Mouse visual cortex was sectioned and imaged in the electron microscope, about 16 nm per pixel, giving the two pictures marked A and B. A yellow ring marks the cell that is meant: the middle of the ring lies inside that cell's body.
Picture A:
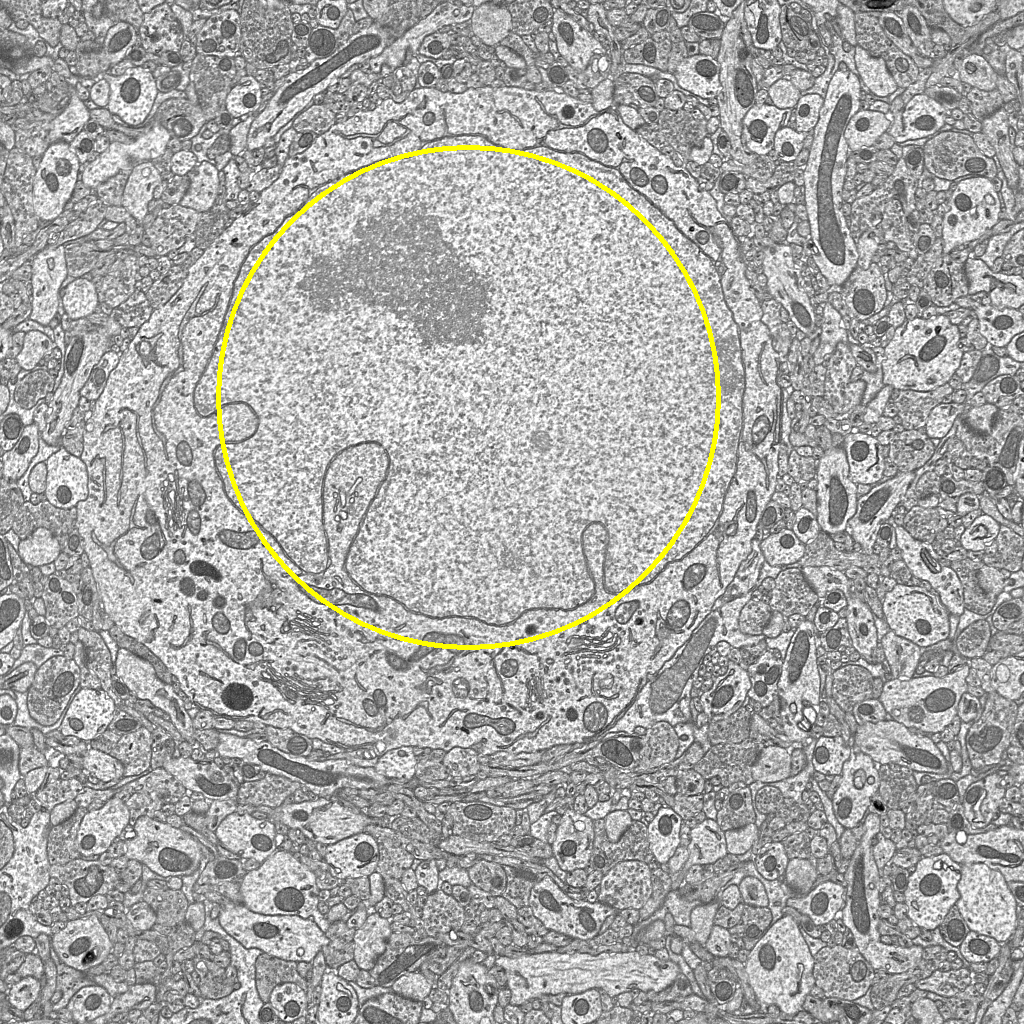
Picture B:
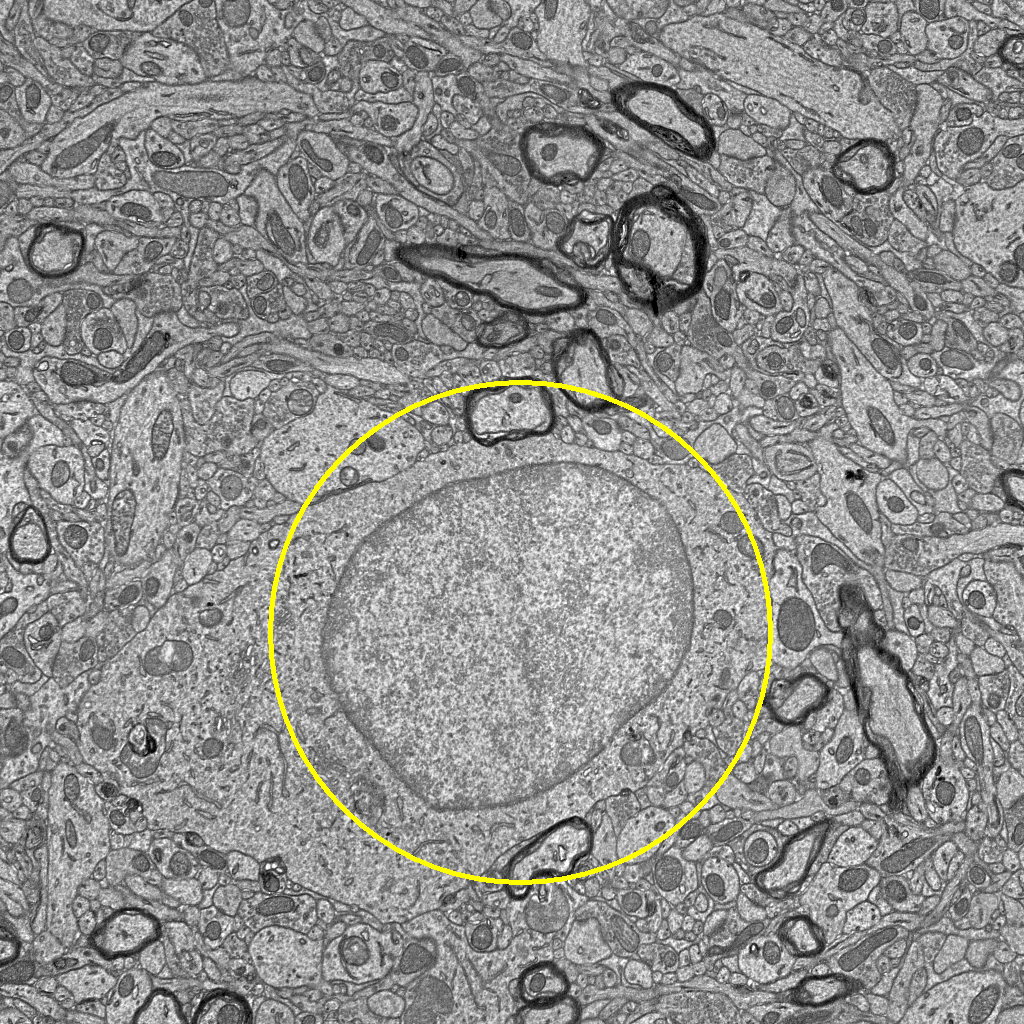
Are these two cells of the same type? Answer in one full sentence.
No, picture A shows an inhibitory neuron and picture B shows an oligodendrocyte.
